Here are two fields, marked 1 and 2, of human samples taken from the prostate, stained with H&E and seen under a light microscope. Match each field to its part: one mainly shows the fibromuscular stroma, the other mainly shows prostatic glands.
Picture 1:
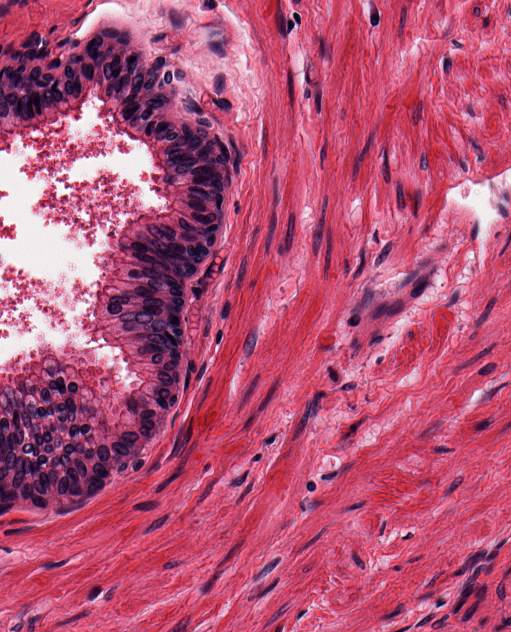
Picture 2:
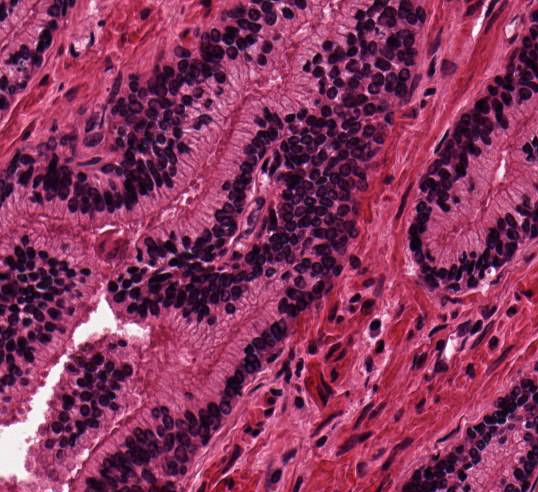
1: fibromuscular stroma
2: prostatic glands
